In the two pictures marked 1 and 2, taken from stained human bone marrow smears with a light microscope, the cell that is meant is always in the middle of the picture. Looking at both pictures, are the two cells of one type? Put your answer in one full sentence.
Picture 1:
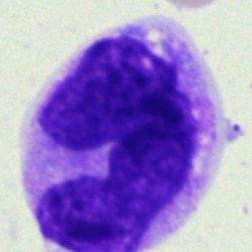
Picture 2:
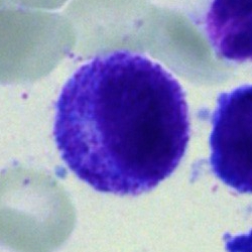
No. Picture 1 shows a monocyte, but picture 2 shows a promyelocyte.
